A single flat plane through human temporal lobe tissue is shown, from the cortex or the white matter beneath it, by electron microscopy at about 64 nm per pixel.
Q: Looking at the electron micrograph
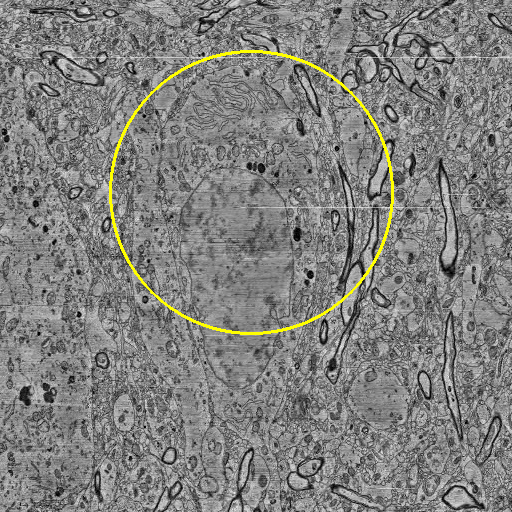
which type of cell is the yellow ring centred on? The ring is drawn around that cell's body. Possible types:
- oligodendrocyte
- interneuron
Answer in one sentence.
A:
The yellow ring is centred on an interneuron.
